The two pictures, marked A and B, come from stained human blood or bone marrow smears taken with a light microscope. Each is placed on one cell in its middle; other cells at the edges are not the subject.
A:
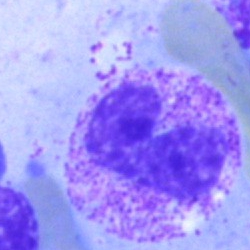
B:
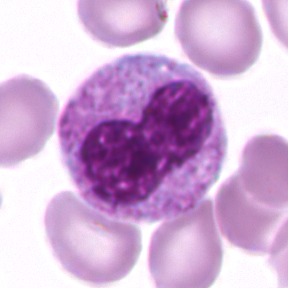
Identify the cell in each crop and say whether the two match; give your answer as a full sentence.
Yes, both crops show band neutrophils in the centre of the field.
